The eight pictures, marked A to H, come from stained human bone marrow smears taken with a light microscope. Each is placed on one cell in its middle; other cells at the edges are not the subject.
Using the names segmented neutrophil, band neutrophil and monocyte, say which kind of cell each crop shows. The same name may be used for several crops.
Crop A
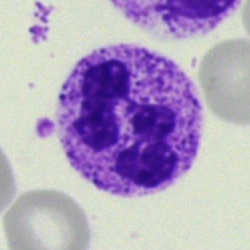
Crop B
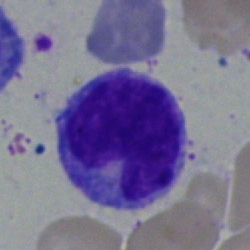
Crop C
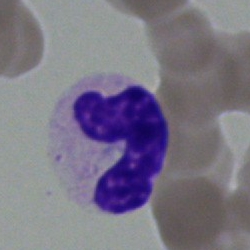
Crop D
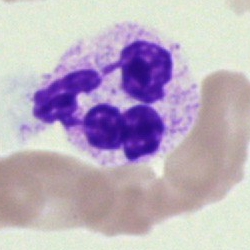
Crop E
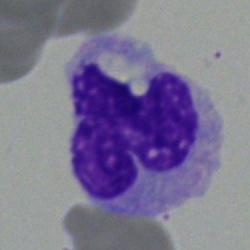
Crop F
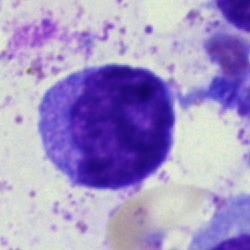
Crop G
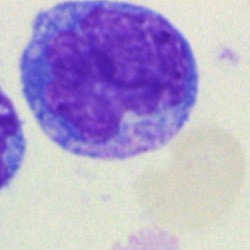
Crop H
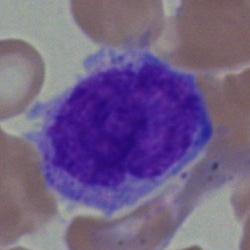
A: segmented neutrophil
B: monocyte
C: band neutrophil
D: segmented neutrophil
E: monocyte
F: monocyte
G: monocyte
H: monocyte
